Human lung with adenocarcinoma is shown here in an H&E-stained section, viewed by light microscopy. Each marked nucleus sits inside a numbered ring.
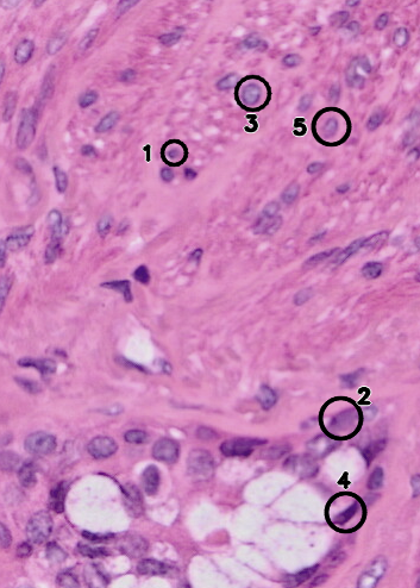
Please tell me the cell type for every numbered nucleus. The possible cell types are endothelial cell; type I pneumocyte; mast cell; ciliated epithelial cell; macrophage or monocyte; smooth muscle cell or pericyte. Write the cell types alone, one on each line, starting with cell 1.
smooth muscle cell or pericyte
ciliated epithelial cell
smooth muscle cell or pericyte
ciliated epithelial cell
smooth muscle cell or pericyte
